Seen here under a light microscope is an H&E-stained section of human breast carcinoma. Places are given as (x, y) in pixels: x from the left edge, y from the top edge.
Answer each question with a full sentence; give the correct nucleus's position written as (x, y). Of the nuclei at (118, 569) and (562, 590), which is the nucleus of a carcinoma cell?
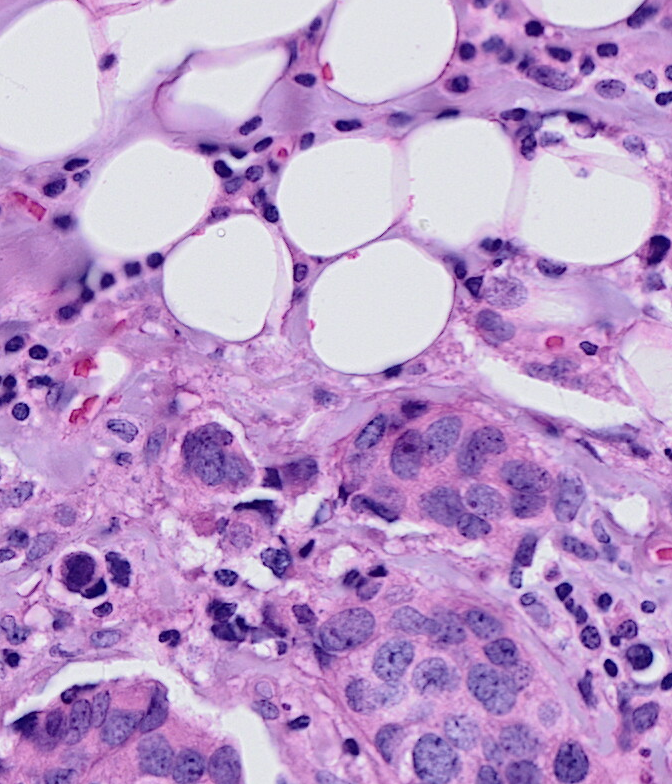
The nucleus at (118, 569) is contained in a carcinoma cell.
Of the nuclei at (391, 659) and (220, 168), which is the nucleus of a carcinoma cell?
Lying within a carcinoma cell is the nucleus at (391, 659).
